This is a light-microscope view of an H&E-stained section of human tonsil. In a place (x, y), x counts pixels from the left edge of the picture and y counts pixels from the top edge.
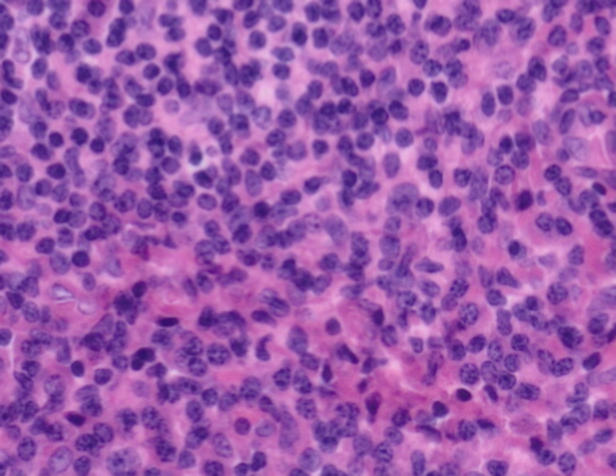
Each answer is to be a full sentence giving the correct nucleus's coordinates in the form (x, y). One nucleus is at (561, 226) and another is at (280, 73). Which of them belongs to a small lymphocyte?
The nucleus at position (280, 73) belongs to a small lymphocyte.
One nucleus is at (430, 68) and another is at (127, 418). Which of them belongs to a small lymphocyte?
Of the two, the nucleus lying at (430, 68) is the one belonging to a small lymphocyte.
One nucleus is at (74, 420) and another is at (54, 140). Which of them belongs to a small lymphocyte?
Which one belongs to a small lymphocyte? The nucleus at (54, 140) does.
